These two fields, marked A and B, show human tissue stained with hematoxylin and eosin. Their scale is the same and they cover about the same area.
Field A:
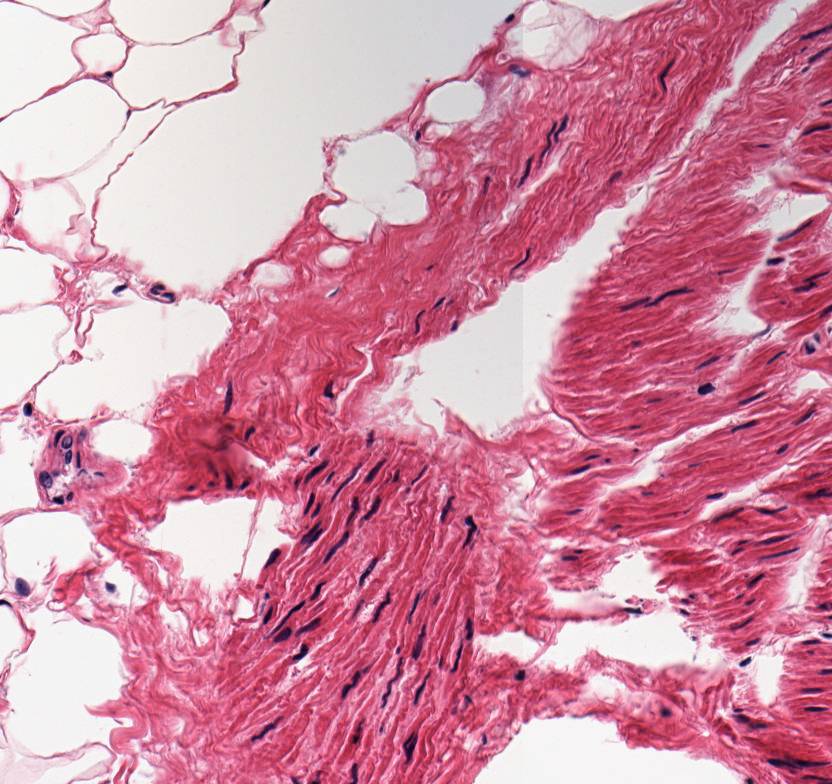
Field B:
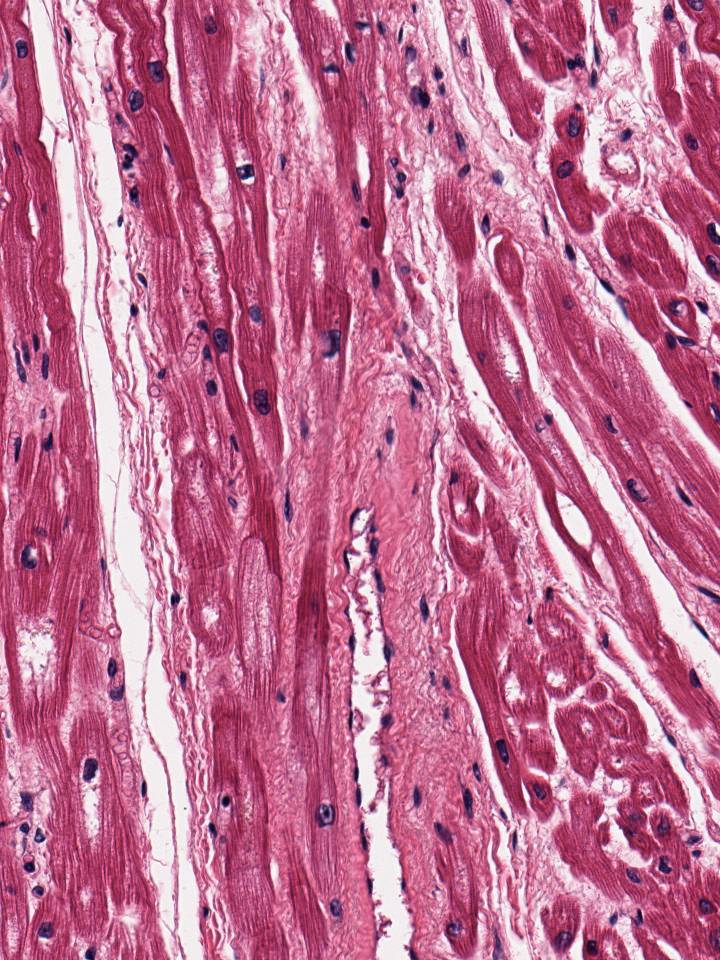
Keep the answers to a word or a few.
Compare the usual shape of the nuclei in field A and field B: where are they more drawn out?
A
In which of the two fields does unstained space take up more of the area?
A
